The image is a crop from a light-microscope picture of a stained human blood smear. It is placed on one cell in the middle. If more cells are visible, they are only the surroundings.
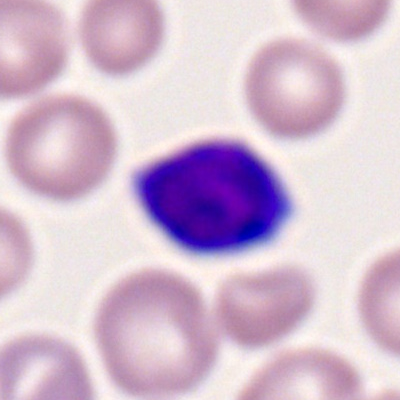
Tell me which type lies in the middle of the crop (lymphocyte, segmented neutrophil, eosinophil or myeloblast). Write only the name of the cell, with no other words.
lymphocyte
